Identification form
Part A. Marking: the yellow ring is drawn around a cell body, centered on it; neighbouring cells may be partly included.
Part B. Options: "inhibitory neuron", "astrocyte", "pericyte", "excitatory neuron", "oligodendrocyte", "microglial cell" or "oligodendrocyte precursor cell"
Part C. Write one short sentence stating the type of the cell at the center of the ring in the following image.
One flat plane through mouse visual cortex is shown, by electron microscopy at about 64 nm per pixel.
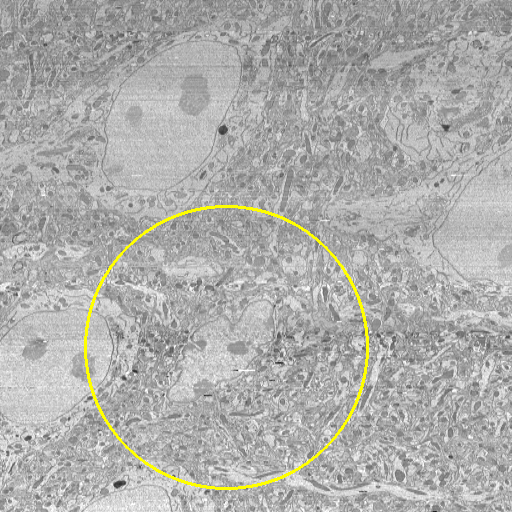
The center of the ring holds an oligodendrocyte precursor cell.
